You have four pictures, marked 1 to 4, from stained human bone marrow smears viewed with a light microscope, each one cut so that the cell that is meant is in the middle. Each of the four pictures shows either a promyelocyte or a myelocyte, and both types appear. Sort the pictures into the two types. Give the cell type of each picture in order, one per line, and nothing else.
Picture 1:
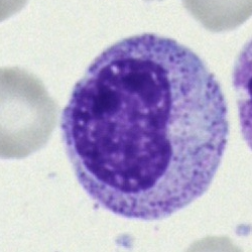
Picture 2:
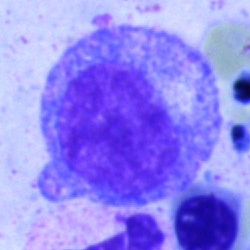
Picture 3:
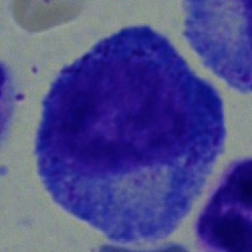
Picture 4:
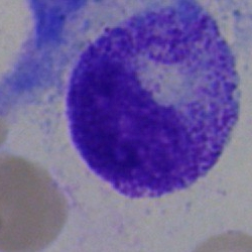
myelocyte
promyelocyte
promyelocyte
myelocyte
